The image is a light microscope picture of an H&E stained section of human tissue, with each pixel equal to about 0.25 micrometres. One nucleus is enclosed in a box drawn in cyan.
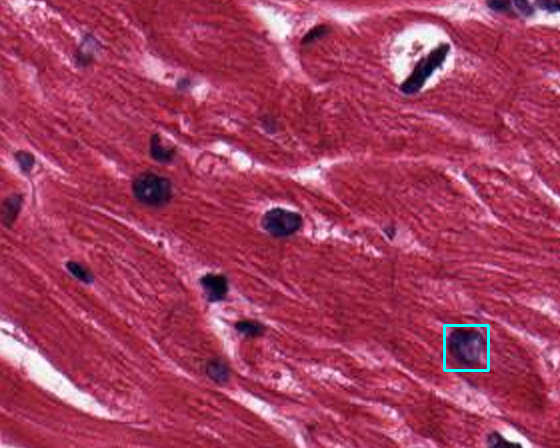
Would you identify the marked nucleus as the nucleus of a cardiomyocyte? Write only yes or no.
yes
